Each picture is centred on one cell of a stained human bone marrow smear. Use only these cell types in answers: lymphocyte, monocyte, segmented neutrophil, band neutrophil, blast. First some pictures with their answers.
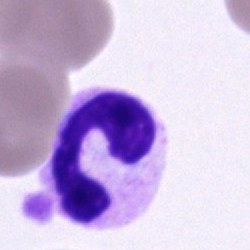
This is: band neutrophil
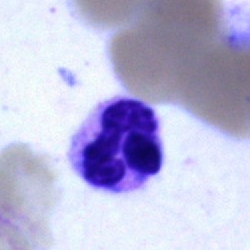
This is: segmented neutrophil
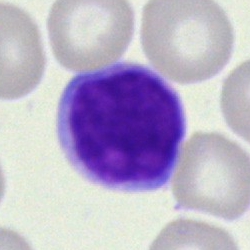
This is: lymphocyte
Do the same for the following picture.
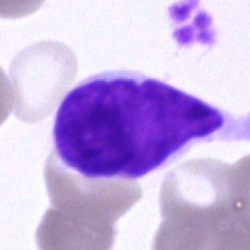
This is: lymphocyte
